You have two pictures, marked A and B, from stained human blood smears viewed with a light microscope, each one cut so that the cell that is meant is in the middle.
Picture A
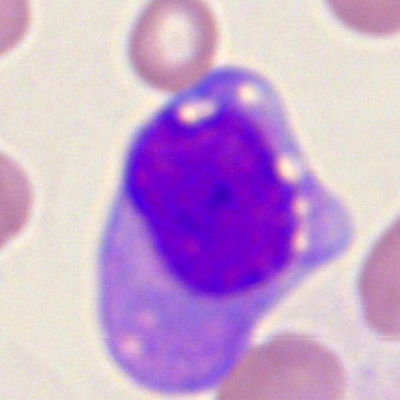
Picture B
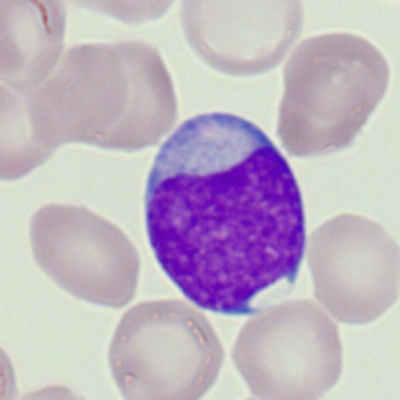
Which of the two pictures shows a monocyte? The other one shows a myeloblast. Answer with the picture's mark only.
A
